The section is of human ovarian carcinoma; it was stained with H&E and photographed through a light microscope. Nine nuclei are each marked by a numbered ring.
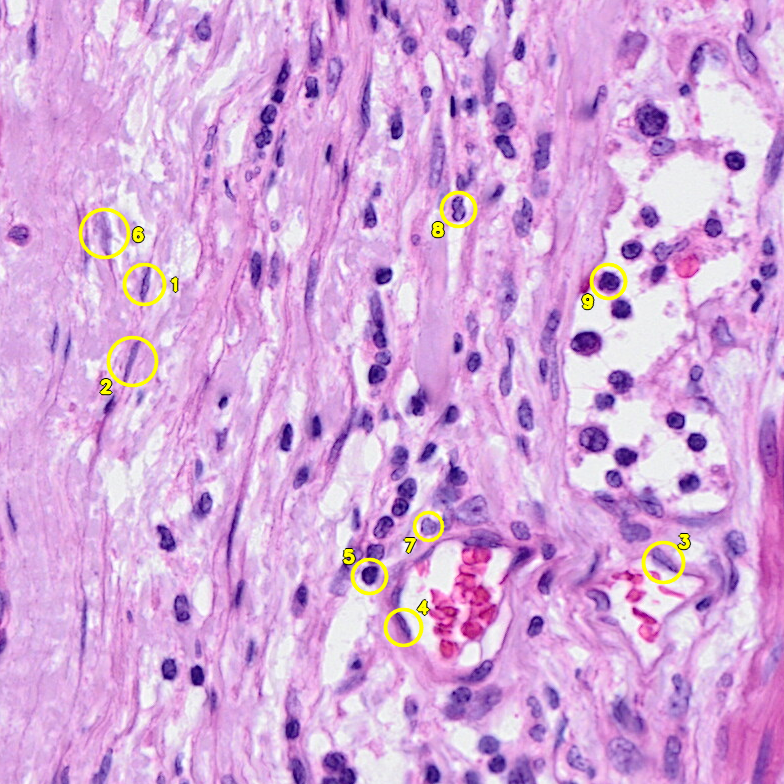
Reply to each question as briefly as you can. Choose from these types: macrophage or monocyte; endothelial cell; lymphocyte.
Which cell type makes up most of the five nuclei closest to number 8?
macrophage or monocyte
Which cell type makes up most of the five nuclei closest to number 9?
lymphocyte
